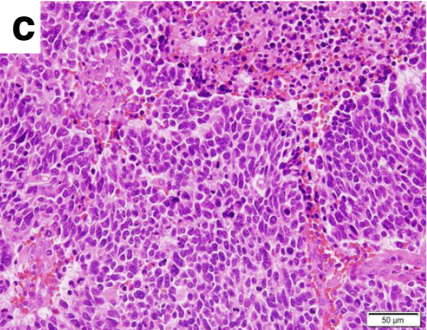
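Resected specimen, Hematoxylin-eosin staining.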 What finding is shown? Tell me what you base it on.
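Cells are packed in solid sheets with large oval nuclei. Nuclei are dark purple and hyperchromatic. Cytoplasm is scant compared with nuclear size. On this evidence: enlarged nuclei and condensed chromatin.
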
